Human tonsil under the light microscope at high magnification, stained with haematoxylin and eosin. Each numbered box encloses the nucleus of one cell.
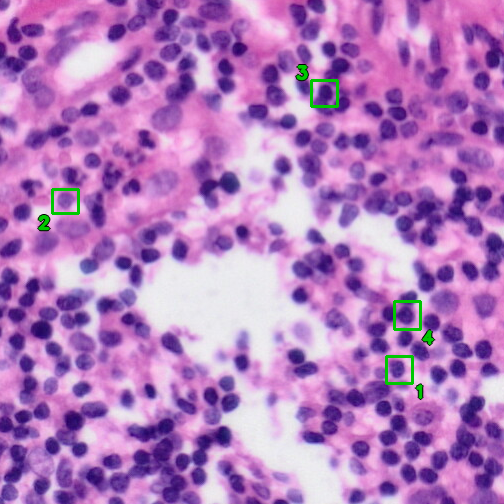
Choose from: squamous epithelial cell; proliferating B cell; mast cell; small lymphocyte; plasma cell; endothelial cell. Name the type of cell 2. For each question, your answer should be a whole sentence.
The cell indicated with the number 2 is classed as an endothelial cell.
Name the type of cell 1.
The correct answer for cell 1 is a small lymphocyte.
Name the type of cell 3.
In this section, the cell tagged 3 is a small lymphocyte.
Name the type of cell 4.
Classified as a small lymphocyte is the cell with the number 4.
